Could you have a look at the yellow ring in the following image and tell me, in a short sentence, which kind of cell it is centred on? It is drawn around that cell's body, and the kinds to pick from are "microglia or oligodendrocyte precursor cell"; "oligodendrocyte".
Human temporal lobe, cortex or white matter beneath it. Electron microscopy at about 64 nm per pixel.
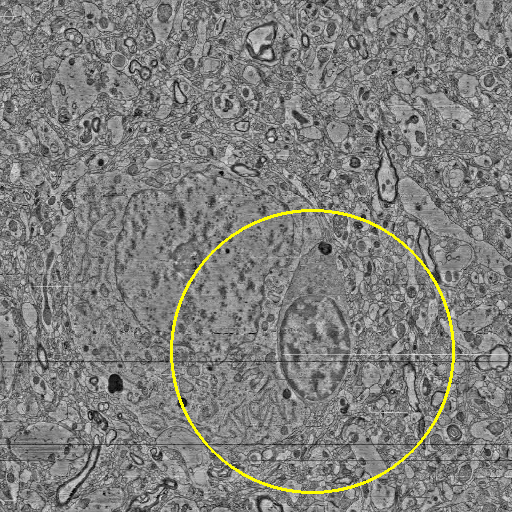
The ring is centred on the body of an oligodendrocyte.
